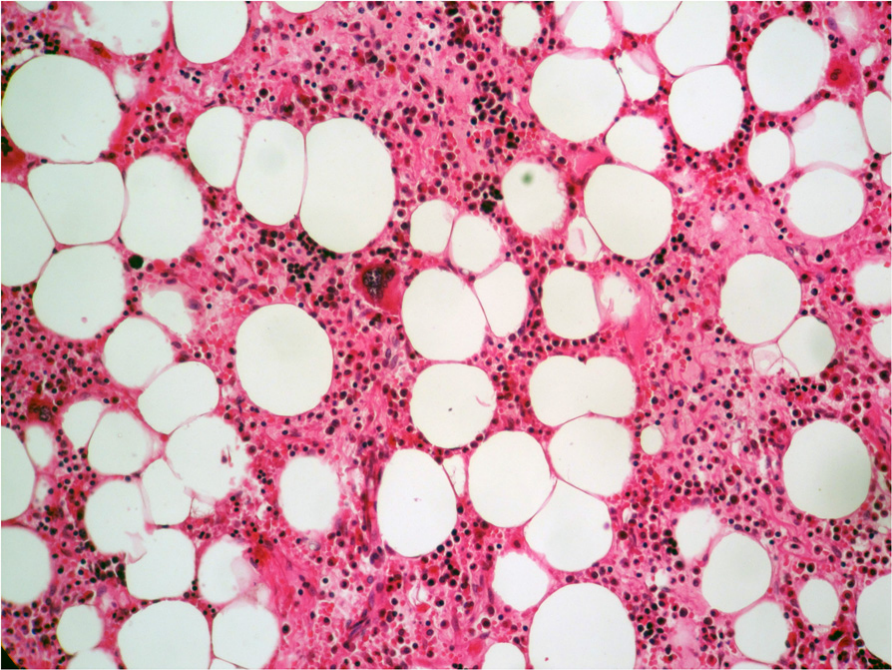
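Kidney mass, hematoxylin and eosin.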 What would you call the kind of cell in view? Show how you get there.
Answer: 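A few cells much larger than their neighbours have dense, lobulated dark purple nuclei. These giant cells have abundant pink cytoplasm and lie among the small blood-forming cells.
Answer: megakaryocytes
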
